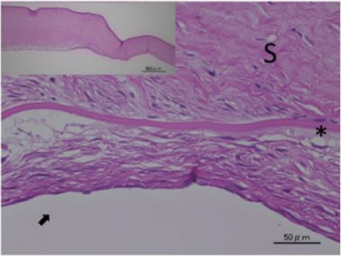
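This is the back of the cornea: corneal stroma above, then a thin, smooth, bright pink band of Descemet’s membrane, and beneath it, where one would normally find a single flat cell layer, a thick tissue of many layers. Those cells are elongated and spindle-shaped, with slender dark nuclei, lying parallel in wavy sheets, looking like fibroblasts rather than endothelium. The stroma above has loosely spaced lamellae with scattered flattened nuclei. The membrane between the two looks continuous and unbroken.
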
